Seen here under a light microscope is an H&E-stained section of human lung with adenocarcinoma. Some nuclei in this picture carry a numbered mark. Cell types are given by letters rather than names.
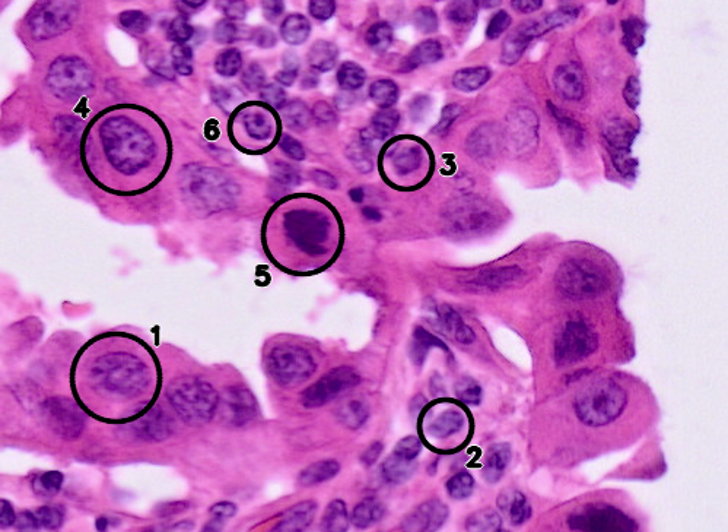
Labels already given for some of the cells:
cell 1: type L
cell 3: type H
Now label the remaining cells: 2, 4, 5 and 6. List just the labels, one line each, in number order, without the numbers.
type H
type L
type L
type H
